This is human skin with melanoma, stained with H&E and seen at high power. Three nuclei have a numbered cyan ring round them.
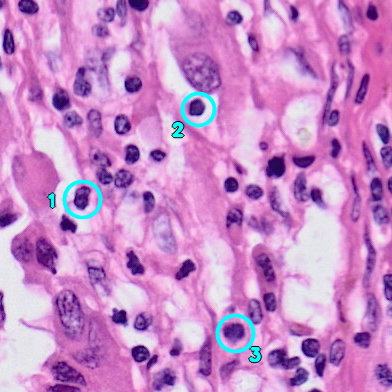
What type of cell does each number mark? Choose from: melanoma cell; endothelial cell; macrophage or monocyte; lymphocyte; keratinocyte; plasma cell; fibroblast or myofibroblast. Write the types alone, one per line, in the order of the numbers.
lymphocyte
lymphocyte
plasma cell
